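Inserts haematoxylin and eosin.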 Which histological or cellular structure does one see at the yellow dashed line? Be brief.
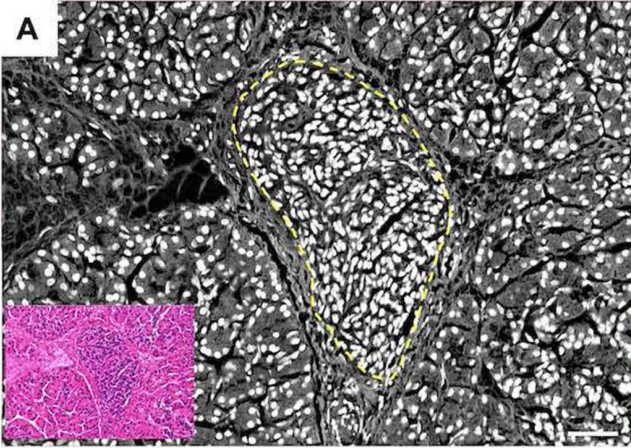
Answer: islet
